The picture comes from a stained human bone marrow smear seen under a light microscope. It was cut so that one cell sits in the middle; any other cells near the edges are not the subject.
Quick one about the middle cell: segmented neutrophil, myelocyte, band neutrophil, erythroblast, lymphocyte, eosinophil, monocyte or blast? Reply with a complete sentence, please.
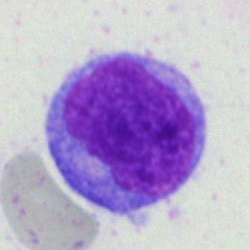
The cell the crop is centered on is a monocyte.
